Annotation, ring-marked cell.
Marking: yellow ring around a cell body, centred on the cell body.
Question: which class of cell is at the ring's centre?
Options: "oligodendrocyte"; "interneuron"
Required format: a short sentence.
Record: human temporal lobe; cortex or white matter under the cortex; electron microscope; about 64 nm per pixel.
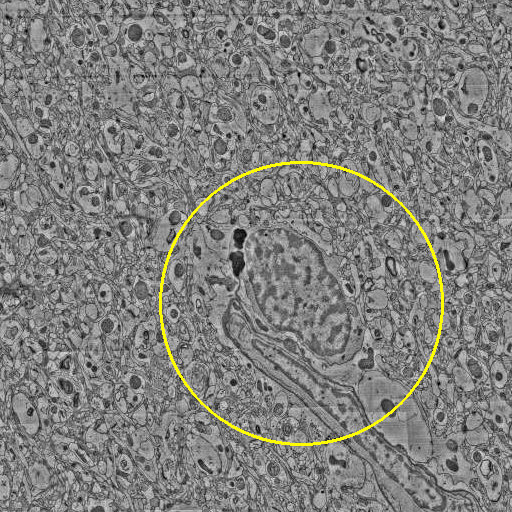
At the ring's centre is an oligodendrocyte.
